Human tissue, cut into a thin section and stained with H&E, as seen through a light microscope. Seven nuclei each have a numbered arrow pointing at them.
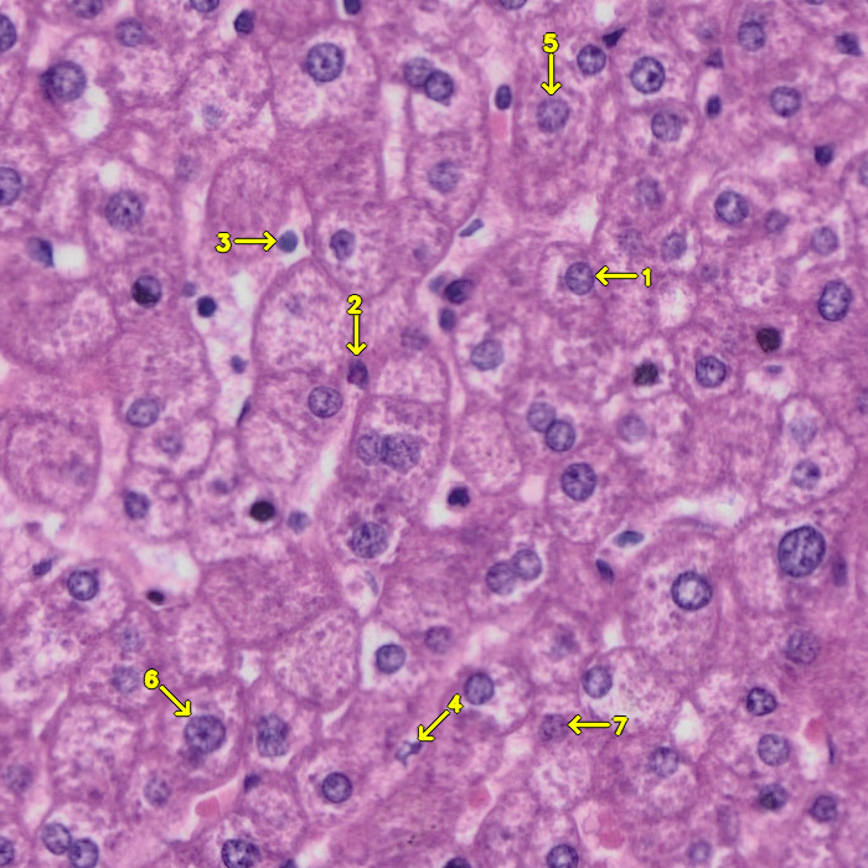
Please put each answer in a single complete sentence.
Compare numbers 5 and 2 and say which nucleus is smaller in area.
Nucleus 2 covers less area, with nucleus 5 about 1.5 times as large.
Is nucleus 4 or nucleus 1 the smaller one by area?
The smaller nucleus is 4, and 1 covers roughly 2 times its area.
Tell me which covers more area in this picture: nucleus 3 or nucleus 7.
Nucleus 7 is the larger one, covering about 1.5 times the area of nucleus 3.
